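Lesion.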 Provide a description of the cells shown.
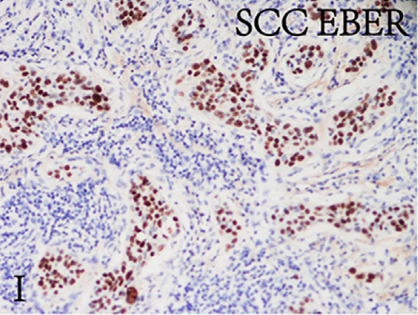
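Nests and irregular cords of neoplastic epithelial cells lie in a fibrous stroma, and almost every nucleus in these nests is stained dark brown. The tumour cells are larger than the surrounding cells, with rounded nuclei and pale cytoplasm that stays unstained. Between the nests the stroma holds spindle-shaped cells and scattered small round cells with blue nuclei, none of them stained. The sharp contrast outlines the shape of each nest against the pale background.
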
